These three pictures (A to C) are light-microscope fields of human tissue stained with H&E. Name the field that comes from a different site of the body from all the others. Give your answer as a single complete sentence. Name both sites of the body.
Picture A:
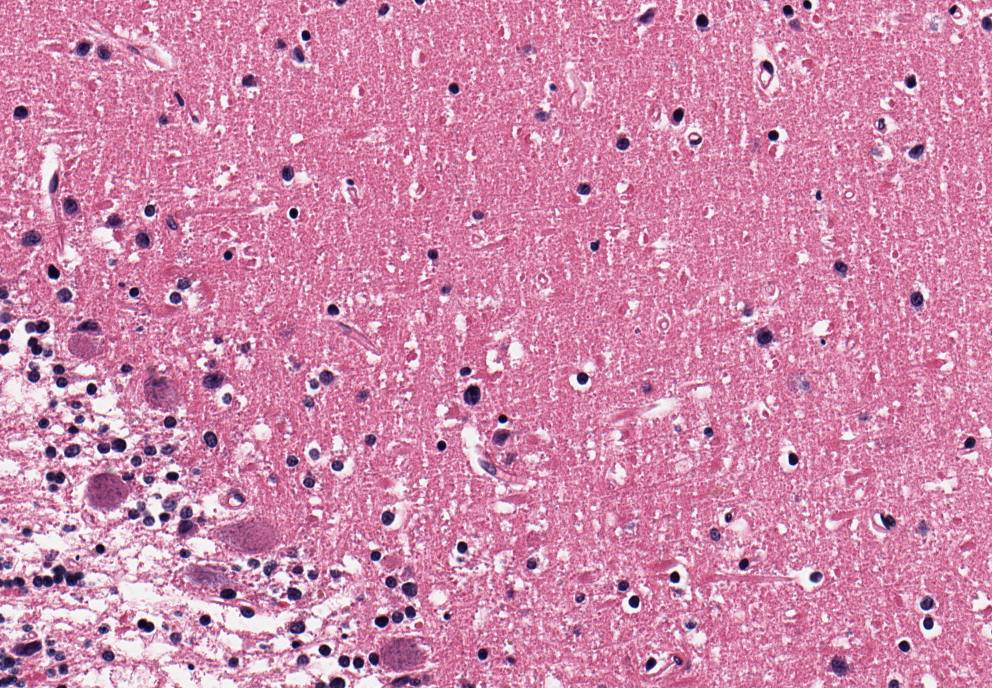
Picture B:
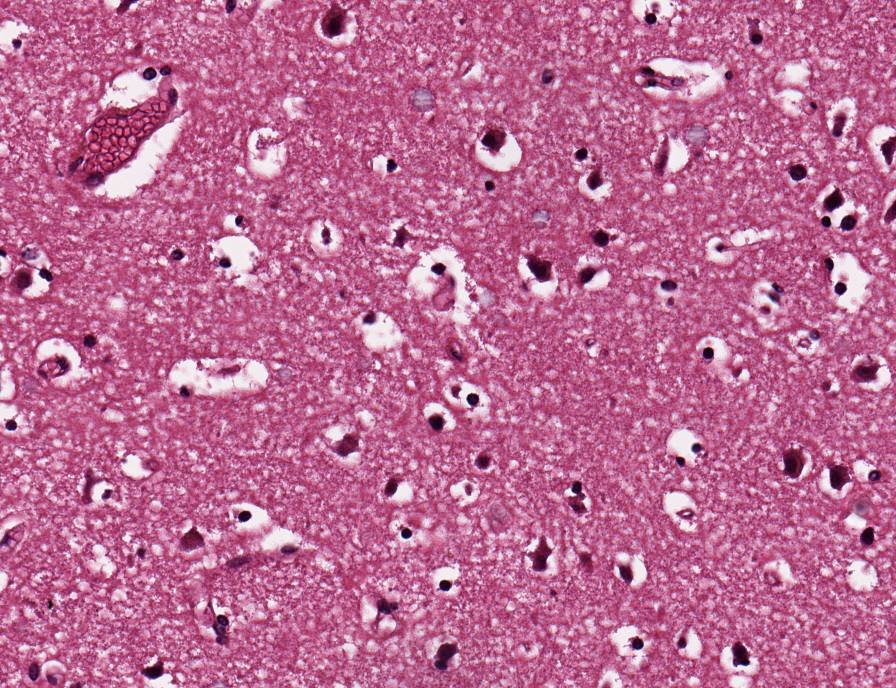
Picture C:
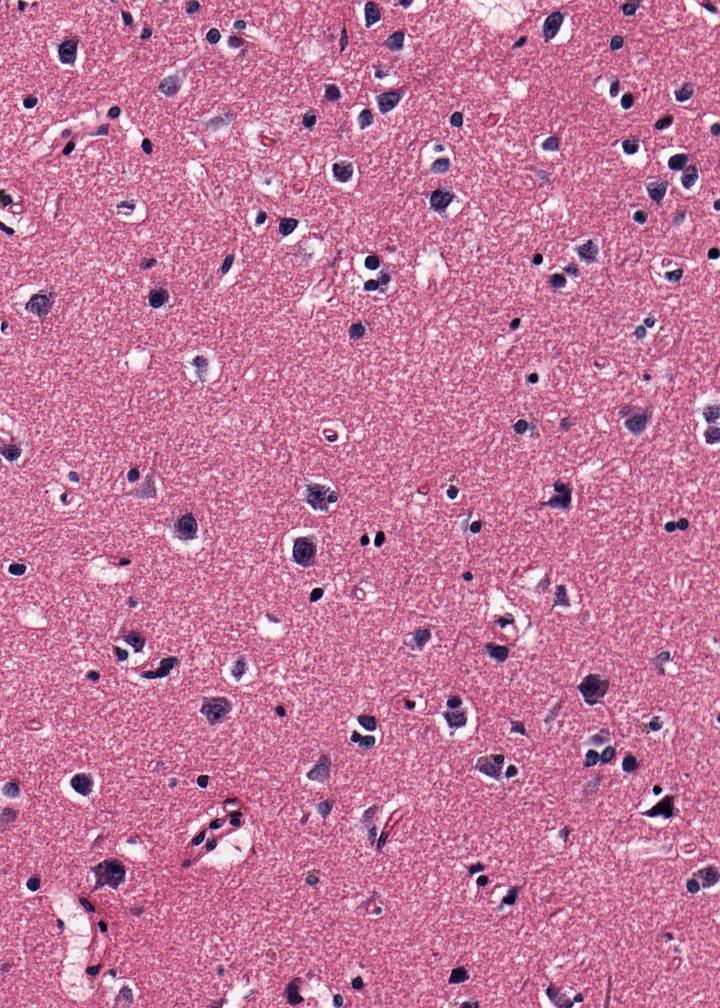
The others come from the cerebral cortex, but picture A comes from the cerebellum.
